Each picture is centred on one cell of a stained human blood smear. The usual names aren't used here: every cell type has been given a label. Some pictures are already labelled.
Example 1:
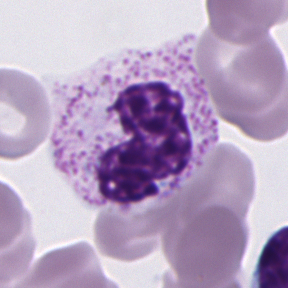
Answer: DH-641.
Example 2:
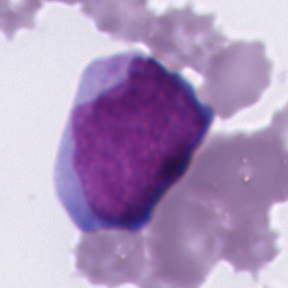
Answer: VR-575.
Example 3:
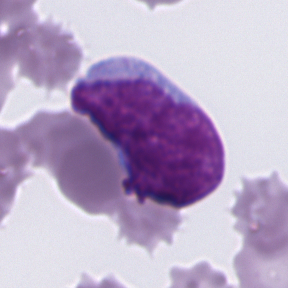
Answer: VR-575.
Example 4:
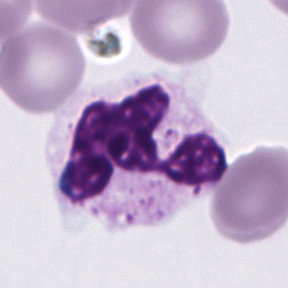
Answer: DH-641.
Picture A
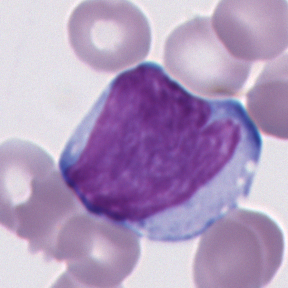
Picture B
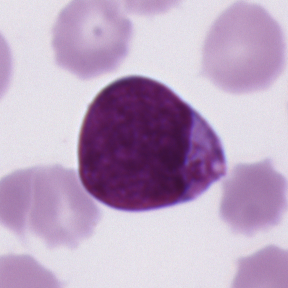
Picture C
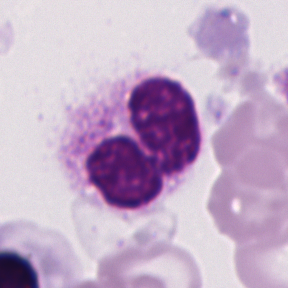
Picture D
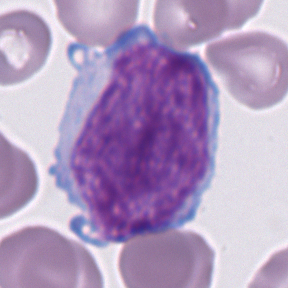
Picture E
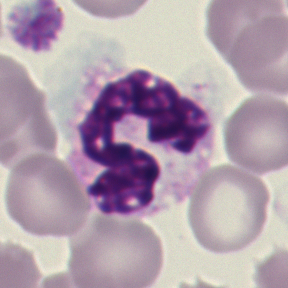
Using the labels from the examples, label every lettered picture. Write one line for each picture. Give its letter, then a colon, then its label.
A: VR-575.
B: VR-575.
C: DH-641.
D: VR-575.
E: DH-641.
